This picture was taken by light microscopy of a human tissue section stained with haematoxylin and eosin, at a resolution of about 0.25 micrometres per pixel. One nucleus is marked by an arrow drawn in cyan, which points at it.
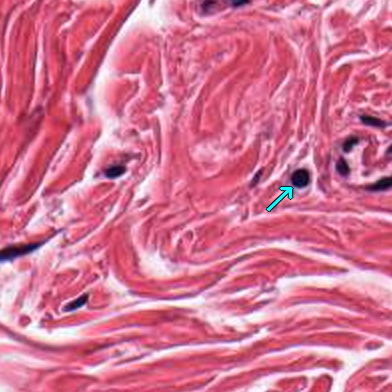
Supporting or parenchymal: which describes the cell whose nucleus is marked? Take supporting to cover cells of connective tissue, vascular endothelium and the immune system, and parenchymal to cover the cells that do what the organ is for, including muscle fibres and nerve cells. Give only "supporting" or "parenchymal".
supporting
